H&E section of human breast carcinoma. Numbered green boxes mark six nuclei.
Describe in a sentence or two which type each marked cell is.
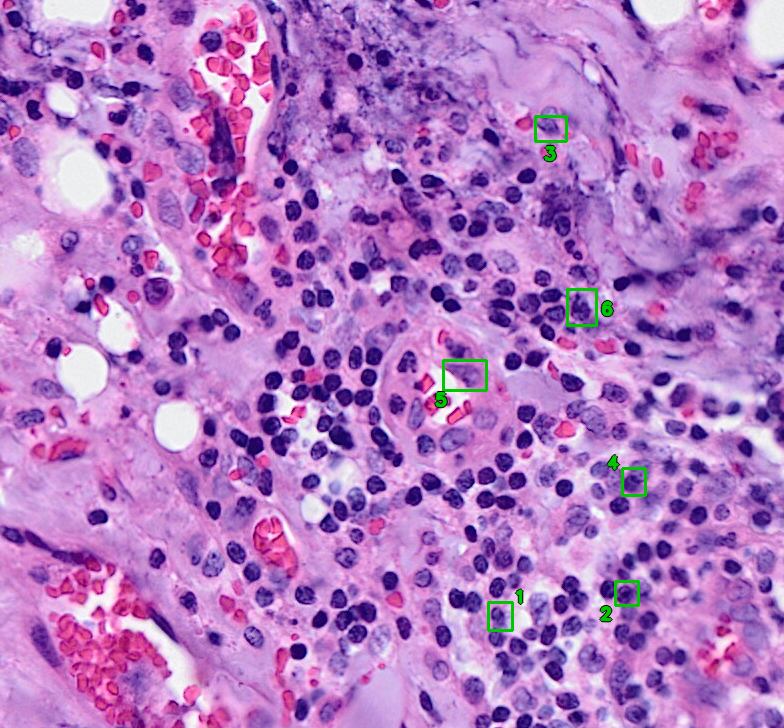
Cell 1 is a lymphocyte, cell 2 is a lymphocyte, cell 3 is an endothelial cell, cell 4 is a lymphocyte, cell 5 is an endothelial cell and cell 6 is a lymphocyte.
